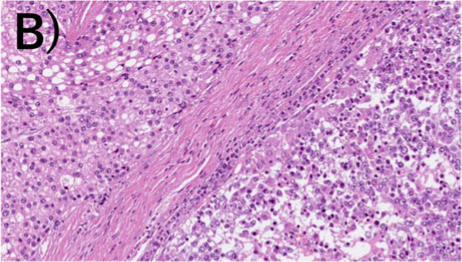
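This section of the tumor shows two different populations of tumor cells separated by a band of fibrous tissue running diagonally across the field. In the upper left, the cells are large and polygonal and lie in sheets. Their cytoplasm is abundant and pale pink, and many cells hold round, clear vacuoles. The central band is made of pink collagen fibres with elongated, spindle-shaped nuclei.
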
